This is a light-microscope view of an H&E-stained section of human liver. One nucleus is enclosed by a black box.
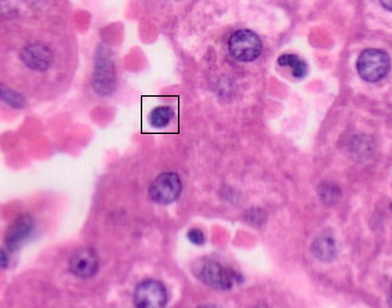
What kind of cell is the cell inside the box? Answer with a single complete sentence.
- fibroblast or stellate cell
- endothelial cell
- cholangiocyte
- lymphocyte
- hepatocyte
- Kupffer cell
In the context of this tissue, the cell inside the box is a lymphocyte.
